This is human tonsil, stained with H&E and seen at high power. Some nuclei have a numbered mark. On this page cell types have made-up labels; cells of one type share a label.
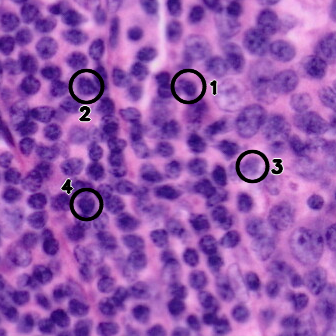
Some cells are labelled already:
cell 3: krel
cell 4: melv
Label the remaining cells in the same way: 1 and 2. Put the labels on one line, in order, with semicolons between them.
krel; melv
